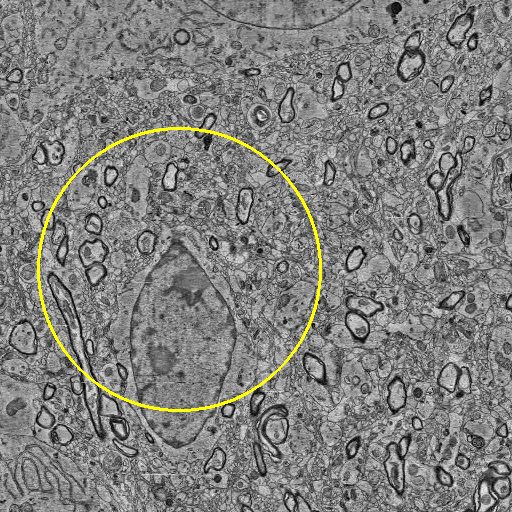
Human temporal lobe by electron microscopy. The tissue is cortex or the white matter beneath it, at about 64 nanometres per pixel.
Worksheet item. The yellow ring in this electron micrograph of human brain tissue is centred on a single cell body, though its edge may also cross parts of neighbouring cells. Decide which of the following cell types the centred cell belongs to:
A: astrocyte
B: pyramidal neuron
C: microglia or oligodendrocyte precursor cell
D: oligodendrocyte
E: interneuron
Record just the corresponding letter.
C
